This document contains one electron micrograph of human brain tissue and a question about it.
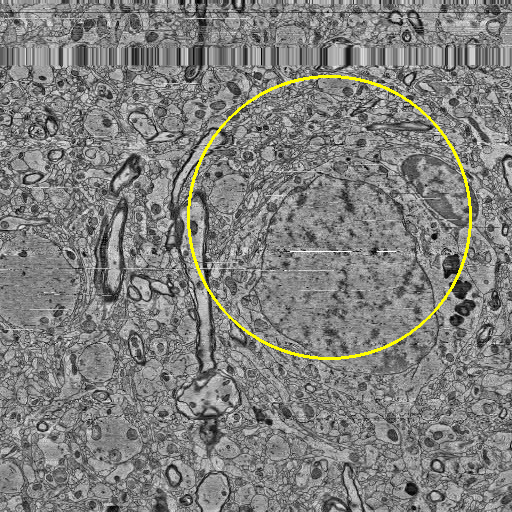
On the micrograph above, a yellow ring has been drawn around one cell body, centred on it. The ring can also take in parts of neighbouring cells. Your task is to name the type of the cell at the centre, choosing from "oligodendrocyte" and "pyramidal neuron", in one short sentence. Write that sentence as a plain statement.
Here the ring is centred on a pyramidal neuron.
